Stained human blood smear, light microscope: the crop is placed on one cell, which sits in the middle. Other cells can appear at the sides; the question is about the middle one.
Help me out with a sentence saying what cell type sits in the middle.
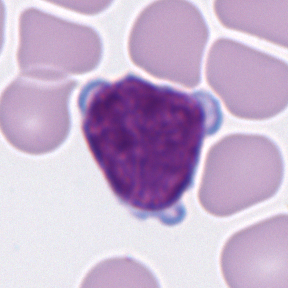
In the center of this field lies a lymphocyte.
